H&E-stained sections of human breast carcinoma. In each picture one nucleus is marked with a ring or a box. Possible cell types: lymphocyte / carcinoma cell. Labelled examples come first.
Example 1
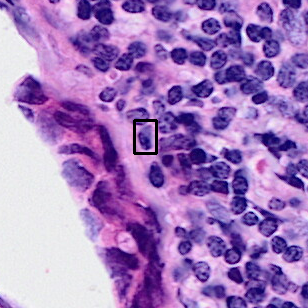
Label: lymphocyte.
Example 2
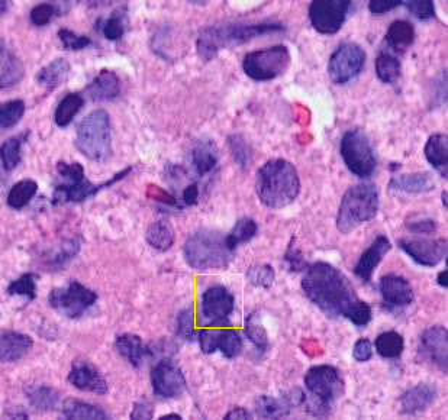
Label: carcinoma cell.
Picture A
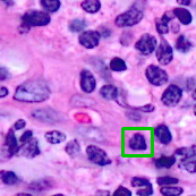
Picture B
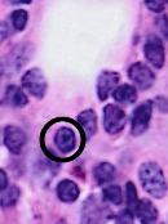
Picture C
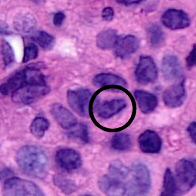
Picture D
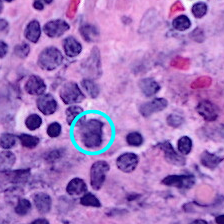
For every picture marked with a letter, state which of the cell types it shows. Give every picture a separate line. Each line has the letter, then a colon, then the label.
A: lymphocyte.
B: lymphocyte.
C: carcinoma cell.
D: lymphocyte.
